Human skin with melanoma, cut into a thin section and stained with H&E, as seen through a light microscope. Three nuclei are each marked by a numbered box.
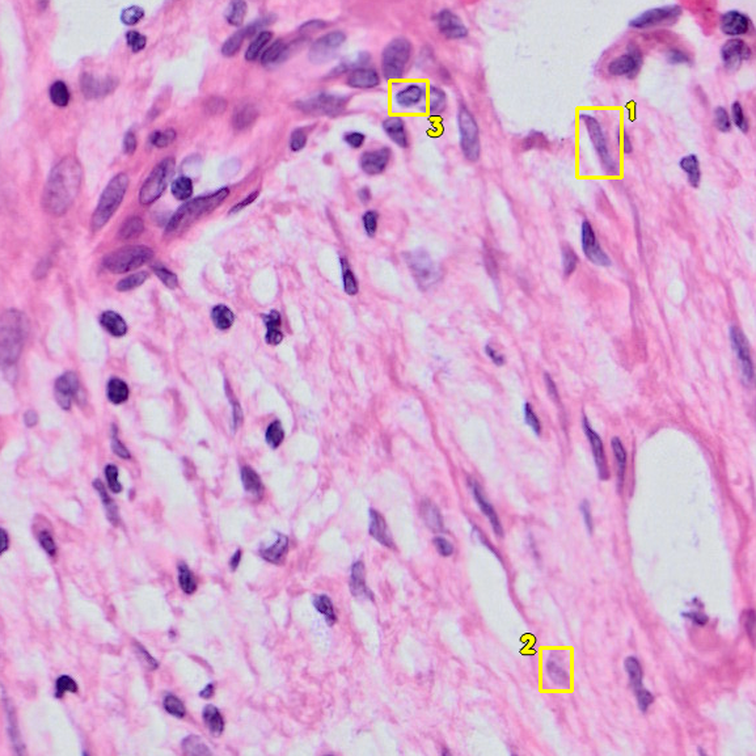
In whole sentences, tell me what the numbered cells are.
Cell 1 is a fibroblast or myofibroblast, cell 2 is a fibroblast or myofibroblast and cell 3 is a lymphocyte.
